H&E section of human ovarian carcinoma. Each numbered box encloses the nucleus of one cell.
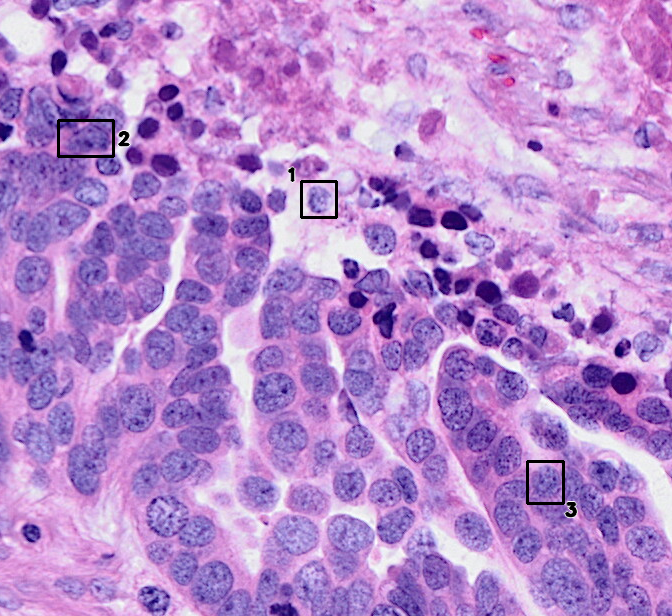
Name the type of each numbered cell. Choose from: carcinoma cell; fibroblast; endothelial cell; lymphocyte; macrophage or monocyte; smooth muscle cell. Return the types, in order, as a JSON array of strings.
["macrophage or monocyte", "carcinoma cell", "carcinoma cell"]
